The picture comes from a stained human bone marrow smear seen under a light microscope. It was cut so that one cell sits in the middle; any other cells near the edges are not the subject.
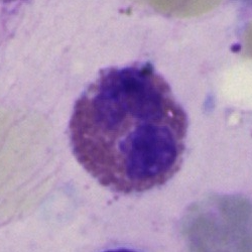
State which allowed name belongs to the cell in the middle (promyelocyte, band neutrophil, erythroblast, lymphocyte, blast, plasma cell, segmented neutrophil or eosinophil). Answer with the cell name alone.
eosinophil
